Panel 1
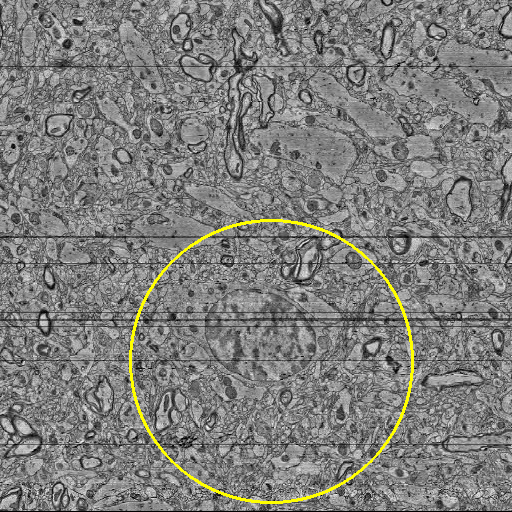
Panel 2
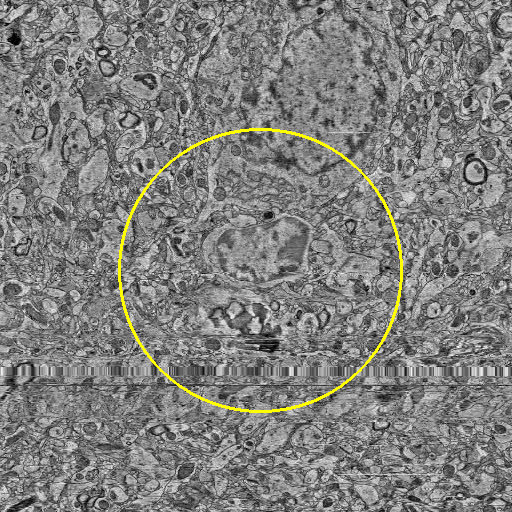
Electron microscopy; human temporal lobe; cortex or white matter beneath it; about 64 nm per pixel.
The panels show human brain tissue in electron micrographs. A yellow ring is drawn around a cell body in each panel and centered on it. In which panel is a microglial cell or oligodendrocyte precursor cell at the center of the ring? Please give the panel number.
2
